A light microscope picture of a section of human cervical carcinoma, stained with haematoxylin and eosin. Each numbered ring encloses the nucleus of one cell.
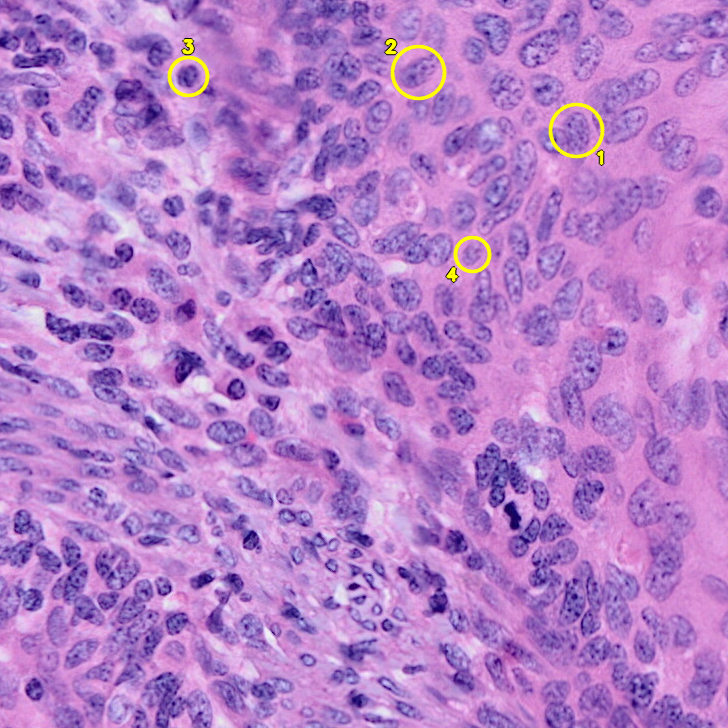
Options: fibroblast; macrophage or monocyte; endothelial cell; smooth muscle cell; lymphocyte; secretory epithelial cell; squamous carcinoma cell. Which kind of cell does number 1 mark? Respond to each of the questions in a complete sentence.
The cell marked with the number 1 is a squamous carcinoma cell.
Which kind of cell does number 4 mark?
The cell whose nucleus carries the number 4 is a squamous carcinoma cell.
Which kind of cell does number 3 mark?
The cell numbered 3 represents a lymphocyte.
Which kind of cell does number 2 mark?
In the tissue shown, cell 2 is a squamous carcinoma cell.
